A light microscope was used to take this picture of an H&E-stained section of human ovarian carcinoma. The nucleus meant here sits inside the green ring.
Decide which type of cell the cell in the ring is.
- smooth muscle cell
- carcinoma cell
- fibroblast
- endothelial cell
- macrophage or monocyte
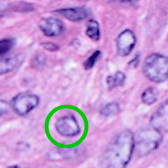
fibroblast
